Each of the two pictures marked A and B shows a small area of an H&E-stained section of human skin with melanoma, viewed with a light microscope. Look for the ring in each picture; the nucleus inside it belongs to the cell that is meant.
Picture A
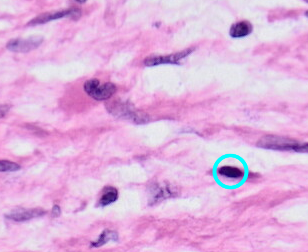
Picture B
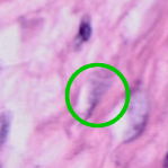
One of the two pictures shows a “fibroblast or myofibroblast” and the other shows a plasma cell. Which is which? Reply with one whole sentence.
It is picture A that shows a plasma cell, and picture B that shows a “fibroblast or myofibroblast”.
